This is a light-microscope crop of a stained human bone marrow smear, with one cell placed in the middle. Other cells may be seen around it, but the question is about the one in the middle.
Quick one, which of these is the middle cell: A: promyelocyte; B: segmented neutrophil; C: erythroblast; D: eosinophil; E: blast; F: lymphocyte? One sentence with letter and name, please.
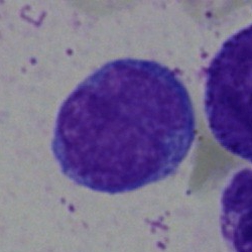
The one to choose is option E, as the cell in the middle is a blast.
